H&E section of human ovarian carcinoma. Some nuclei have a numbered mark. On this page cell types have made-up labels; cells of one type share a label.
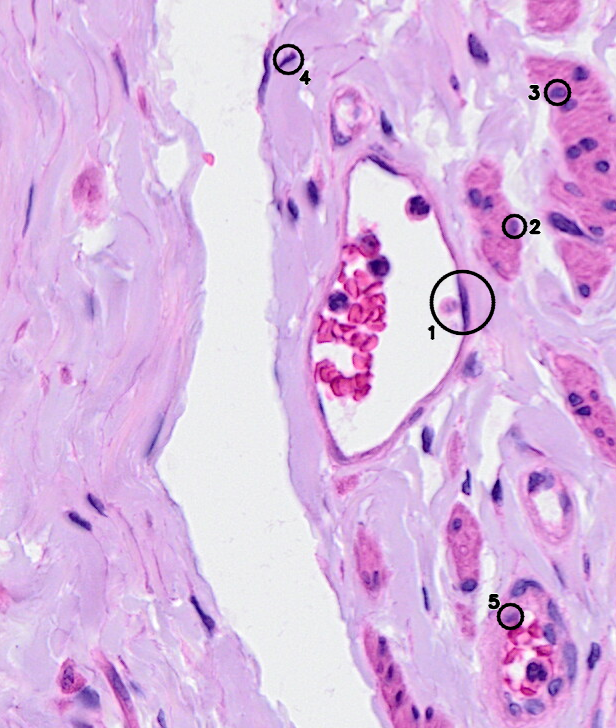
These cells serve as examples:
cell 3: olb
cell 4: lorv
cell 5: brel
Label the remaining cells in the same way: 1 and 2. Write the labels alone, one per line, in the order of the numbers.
brel
olb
